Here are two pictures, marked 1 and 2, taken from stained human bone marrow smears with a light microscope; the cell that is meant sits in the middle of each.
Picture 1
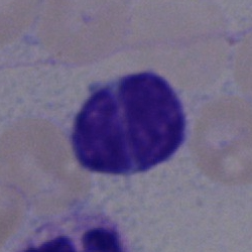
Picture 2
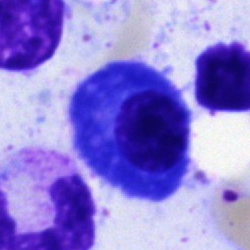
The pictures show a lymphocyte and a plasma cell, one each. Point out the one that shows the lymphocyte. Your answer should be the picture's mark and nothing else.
1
